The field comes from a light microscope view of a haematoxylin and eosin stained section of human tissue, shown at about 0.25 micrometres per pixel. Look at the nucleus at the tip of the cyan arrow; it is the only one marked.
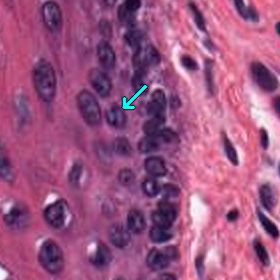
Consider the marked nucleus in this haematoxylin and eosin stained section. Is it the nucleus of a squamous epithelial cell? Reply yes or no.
yes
